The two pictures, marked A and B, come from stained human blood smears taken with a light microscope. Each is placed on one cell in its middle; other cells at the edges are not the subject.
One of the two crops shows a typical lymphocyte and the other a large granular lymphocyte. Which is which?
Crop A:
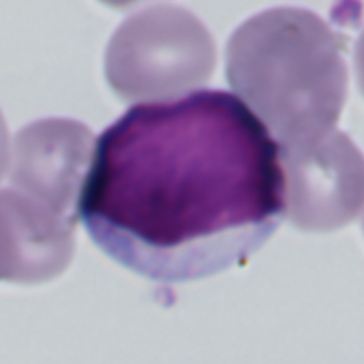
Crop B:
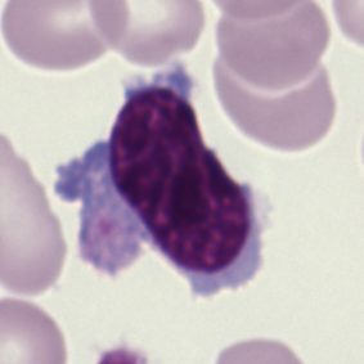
A: large granular lymphocyte
B: typical lymphocyte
